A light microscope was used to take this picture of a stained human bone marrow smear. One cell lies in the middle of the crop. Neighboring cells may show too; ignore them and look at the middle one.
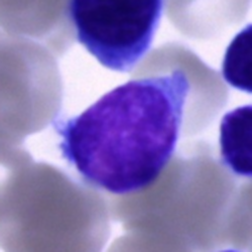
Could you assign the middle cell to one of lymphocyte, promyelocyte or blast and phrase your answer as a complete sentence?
This crop's central cell is a lymphocyte.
